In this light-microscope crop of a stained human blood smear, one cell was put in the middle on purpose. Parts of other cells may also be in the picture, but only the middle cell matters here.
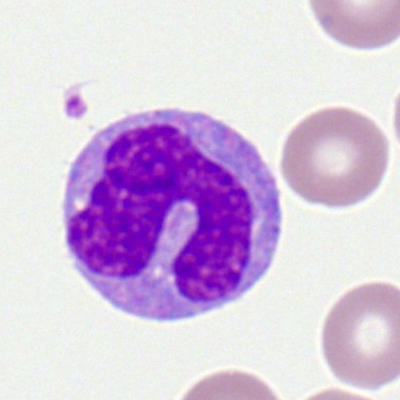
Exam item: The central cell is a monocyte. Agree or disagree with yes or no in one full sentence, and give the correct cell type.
Yes, a monocyte is present in the middle of the crop.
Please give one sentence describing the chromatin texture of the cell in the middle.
Take a look at the chromatin, which is coarsely clumped.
